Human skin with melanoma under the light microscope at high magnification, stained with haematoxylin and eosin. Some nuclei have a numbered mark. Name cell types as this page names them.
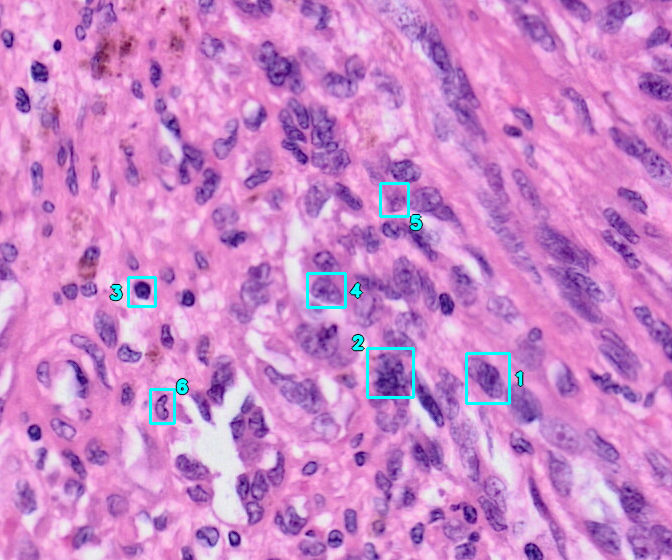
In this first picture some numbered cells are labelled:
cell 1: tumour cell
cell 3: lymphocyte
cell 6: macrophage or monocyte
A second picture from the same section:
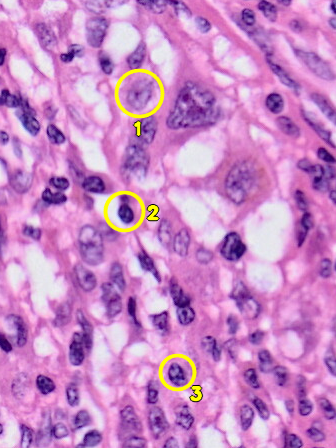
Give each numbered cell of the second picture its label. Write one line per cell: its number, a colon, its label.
1: tumour cell
2: lymphocyte
3: lymphocyte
